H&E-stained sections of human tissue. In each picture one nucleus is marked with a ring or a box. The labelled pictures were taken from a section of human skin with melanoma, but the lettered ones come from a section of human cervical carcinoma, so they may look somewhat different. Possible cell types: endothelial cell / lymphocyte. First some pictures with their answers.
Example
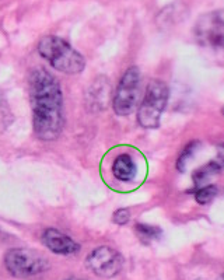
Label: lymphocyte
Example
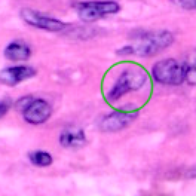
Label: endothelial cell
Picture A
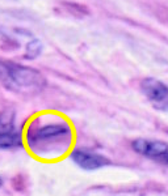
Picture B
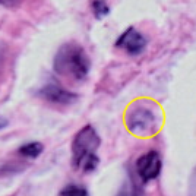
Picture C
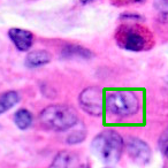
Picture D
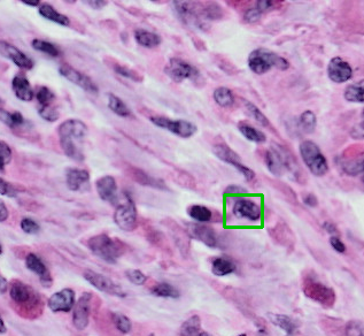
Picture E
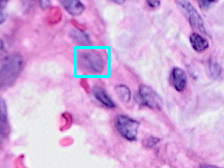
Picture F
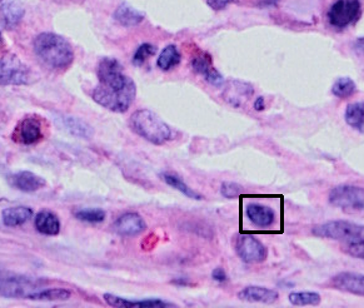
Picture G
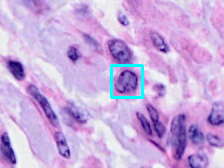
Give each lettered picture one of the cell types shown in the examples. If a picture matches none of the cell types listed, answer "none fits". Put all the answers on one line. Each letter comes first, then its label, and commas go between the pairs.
A endothelial cell, B none fits, C endothelial cell, D lymphocyte, E endothelial cell, F lymphocyte, G none fits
